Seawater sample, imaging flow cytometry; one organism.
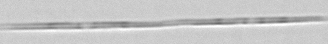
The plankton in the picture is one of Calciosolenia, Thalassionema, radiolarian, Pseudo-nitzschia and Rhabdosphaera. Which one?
Pseudo-nitzschia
